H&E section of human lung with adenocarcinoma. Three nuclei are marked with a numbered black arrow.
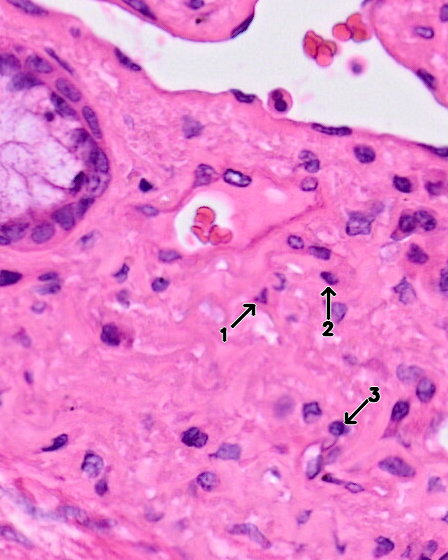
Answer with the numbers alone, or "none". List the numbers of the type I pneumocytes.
none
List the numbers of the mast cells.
1, 2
